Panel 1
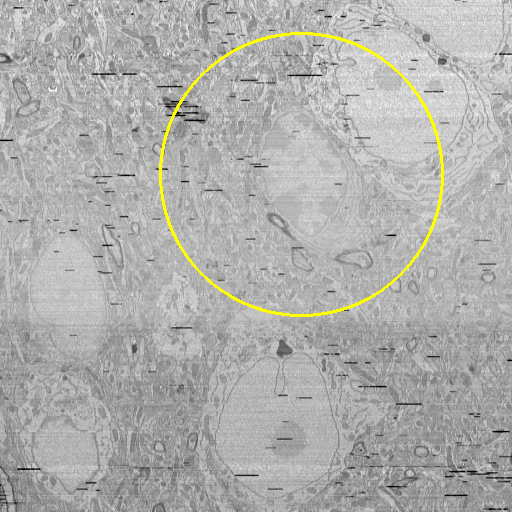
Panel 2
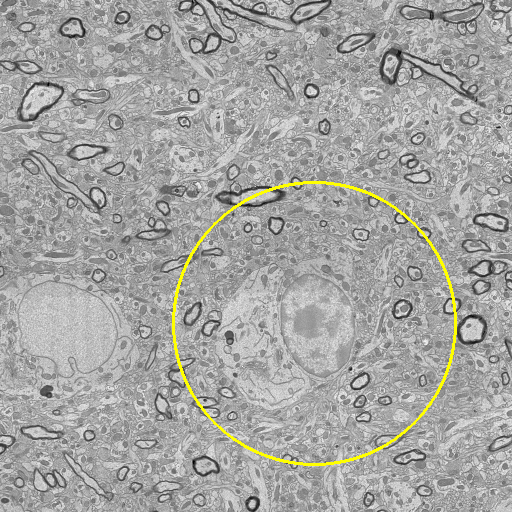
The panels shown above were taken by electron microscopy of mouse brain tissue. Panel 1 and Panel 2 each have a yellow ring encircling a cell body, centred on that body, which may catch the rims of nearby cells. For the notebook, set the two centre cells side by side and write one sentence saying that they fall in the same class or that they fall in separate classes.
The centred cells of Panel 1 and Panel 2 fall in the same class.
